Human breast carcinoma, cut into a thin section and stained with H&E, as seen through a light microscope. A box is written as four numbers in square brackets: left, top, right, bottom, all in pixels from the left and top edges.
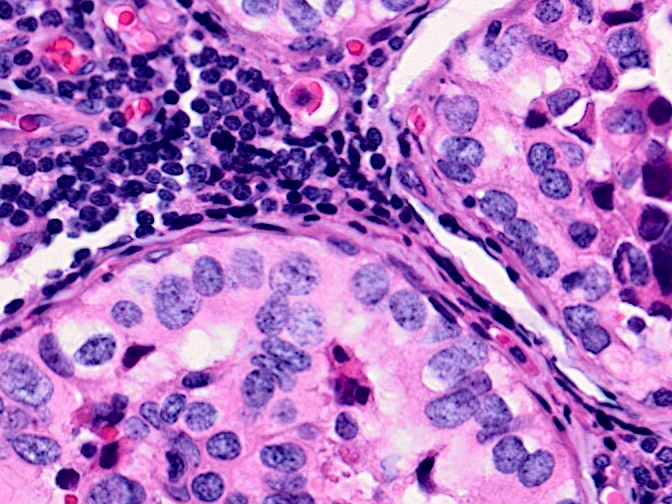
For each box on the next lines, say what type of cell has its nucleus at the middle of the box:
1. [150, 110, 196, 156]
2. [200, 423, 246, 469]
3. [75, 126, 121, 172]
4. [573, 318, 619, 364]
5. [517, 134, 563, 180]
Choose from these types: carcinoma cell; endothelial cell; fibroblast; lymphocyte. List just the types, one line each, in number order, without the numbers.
lymphocyte
carcinoma cell
lymphocyte
carcinoma cell
carcinoma cell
